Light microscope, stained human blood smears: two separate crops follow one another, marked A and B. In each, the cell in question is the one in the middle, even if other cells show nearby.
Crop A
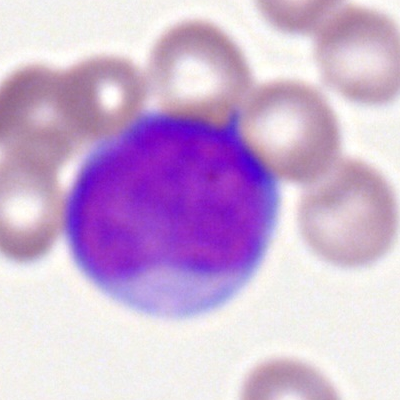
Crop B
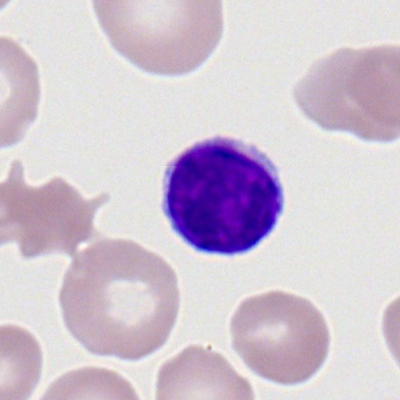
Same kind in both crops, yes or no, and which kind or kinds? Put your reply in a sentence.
No, crop A has a blast in the middle, and crop B has a lymphocyte.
